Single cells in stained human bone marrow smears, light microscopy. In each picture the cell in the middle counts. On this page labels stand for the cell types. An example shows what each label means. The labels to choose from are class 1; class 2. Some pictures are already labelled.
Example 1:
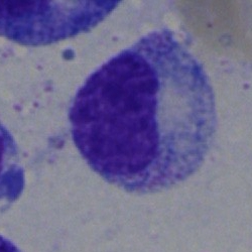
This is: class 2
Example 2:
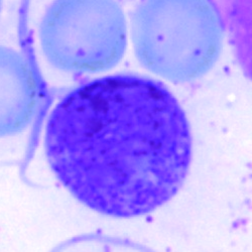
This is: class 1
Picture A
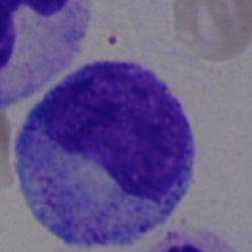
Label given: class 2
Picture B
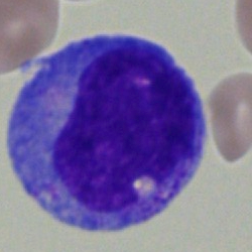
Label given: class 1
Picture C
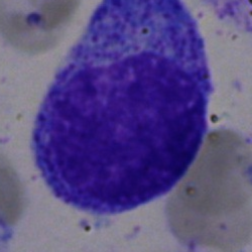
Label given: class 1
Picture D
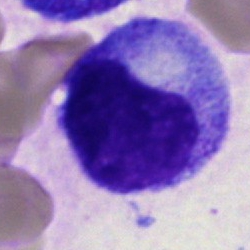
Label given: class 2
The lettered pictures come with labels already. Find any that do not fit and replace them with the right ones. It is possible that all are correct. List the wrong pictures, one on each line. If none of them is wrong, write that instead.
Every label is right.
